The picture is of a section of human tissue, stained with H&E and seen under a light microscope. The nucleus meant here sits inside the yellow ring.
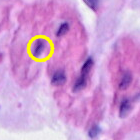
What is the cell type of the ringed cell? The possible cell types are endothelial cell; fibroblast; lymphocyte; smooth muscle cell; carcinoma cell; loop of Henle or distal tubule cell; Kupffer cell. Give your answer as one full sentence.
On this particular slide, the ringed cell is a smooth muscle cell.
